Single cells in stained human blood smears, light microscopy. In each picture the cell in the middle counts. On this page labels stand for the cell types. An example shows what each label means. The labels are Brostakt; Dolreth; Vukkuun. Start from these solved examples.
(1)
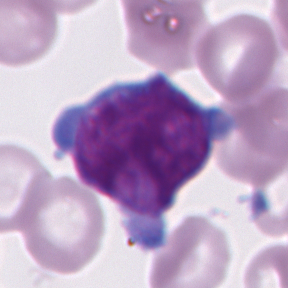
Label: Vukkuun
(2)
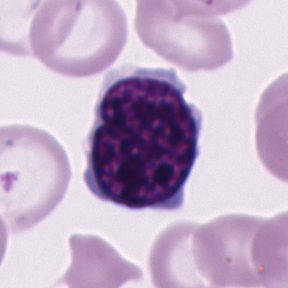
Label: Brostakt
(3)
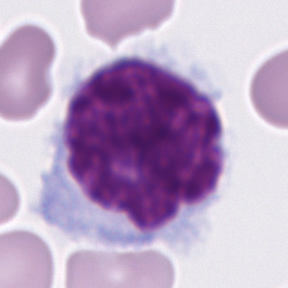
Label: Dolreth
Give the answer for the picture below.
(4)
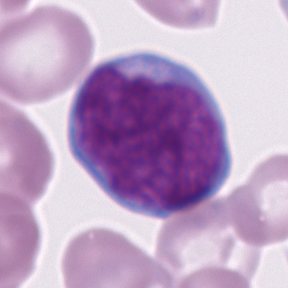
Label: Vukkuun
